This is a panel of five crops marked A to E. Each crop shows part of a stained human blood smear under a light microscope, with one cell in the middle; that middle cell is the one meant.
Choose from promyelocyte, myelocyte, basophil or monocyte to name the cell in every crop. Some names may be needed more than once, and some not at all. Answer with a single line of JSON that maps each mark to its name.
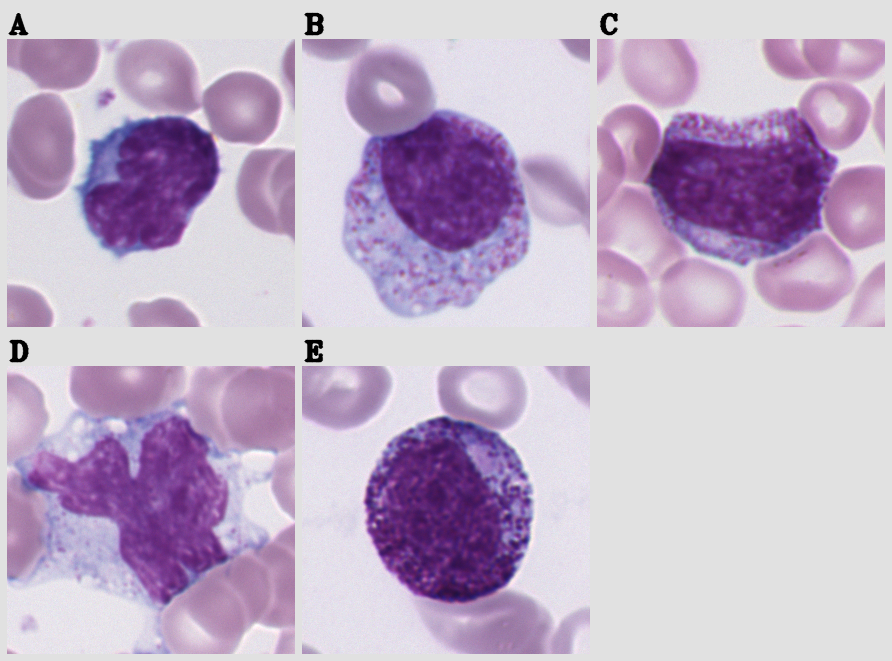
{"A": "monocyte", "B": "promyelocyte", "C": "myelocyte", "D": "monocyte", "E": "promyelocyte"}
